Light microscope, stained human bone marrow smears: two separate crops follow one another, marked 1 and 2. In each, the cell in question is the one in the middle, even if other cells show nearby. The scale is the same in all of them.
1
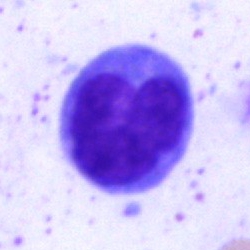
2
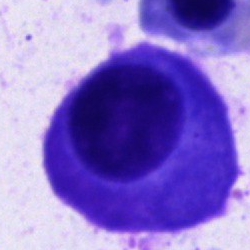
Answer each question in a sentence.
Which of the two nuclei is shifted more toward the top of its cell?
The nucleus in crop 2 lies further toward the top of its cell.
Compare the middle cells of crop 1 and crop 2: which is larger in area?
Crop 2 holds the larger cell; it covers about 2 times the area of the cell in crop 1.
